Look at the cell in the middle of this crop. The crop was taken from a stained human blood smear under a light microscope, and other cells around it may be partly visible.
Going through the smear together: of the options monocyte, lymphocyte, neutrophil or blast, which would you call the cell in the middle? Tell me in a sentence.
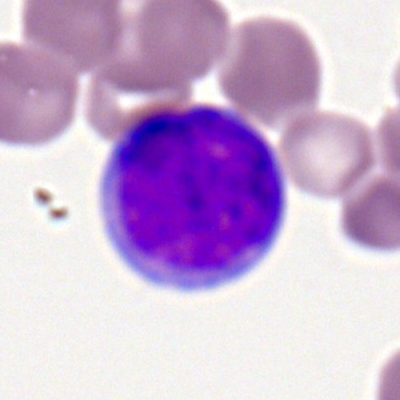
Classified as a blast is the cell in the middle of this crop.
